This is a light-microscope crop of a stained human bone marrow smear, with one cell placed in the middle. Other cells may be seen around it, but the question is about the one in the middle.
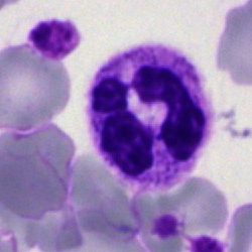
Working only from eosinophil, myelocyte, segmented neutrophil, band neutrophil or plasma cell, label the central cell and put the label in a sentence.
In the middle of this smear crop is a segmented neutrophil.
